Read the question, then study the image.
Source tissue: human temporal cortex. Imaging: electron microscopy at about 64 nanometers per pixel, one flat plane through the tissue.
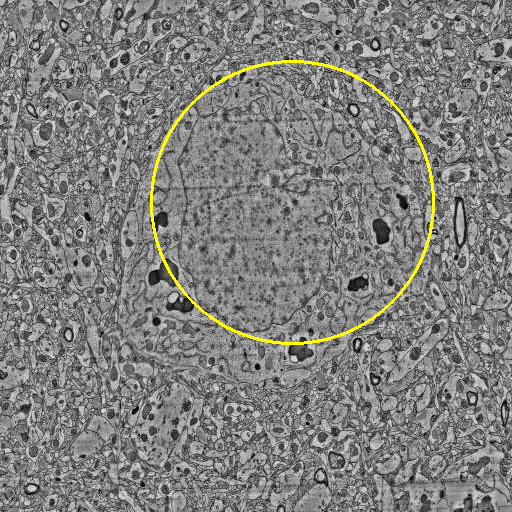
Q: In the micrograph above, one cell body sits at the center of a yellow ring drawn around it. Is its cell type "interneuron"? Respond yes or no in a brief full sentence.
Yes, its cell type is that one.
